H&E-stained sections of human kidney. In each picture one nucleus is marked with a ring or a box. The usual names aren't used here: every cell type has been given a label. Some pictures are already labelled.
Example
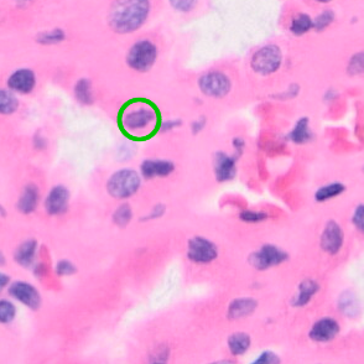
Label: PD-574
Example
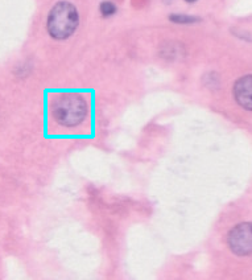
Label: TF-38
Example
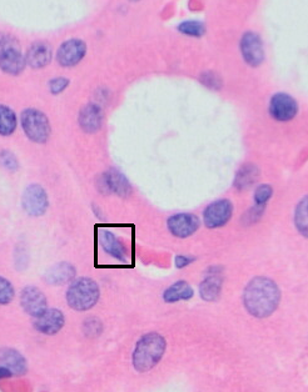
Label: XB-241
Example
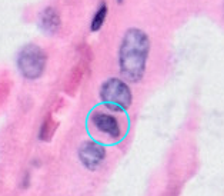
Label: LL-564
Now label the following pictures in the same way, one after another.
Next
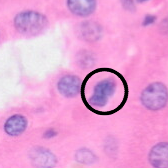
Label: XB-241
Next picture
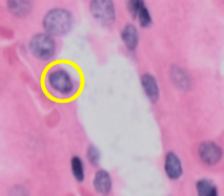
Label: PD-574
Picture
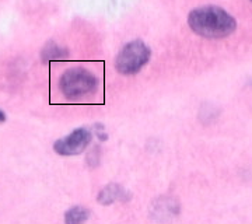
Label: TF-38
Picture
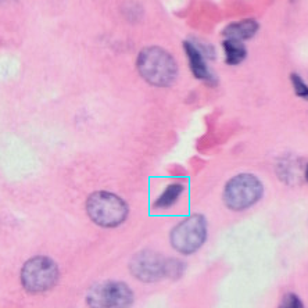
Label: XB-241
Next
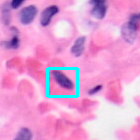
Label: XB-241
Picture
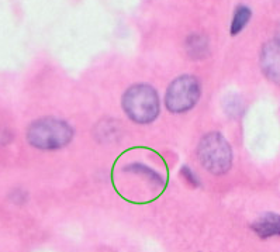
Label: XB-241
